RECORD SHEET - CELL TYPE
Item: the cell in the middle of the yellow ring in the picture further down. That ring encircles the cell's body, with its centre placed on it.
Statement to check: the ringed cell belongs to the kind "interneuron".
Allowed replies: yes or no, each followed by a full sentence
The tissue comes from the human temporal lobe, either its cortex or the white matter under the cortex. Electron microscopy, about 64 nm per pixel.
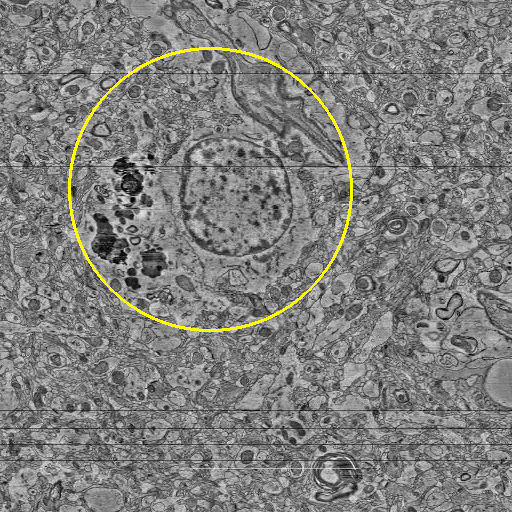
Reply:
No, the cell held at the centre of the ring in the picture is of a different kind.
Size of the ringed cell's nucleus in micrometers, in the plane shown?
In this plane the ringed cell's nucleus is roughly 8 micrometres across.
